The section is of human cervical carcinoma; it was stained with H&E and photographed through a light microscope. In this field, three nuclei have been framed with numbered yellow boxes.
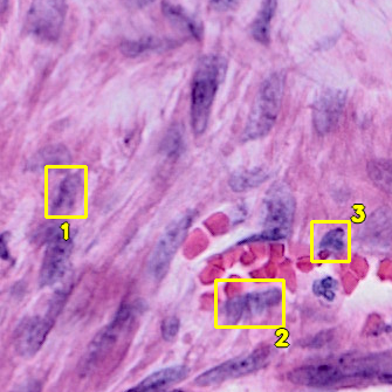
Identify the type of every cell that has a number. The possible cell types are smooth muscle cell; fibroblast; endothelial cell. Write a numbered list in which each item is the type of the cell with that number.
1. fibroblast
2. endothelial cell
3. endothelial cell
